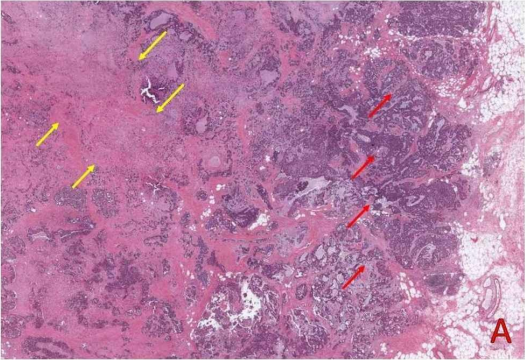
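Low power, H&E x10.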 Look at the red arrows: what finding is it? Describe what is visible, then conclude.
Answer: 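More cellular peripherally. The area at the red arrows is dense and dark purple with packed cells. The area at the yellow arrows is pale pink and sparsely cellular. The dense region lies towards the edge next to fat.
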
